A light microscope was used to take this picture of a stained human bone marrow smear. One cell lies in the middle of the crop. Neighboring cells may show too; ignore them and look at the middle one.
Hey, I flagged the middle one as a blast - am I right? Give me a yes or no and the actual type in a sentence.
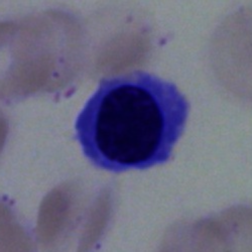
No, in this crop the middle cell is an erythroblast, not a blast.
